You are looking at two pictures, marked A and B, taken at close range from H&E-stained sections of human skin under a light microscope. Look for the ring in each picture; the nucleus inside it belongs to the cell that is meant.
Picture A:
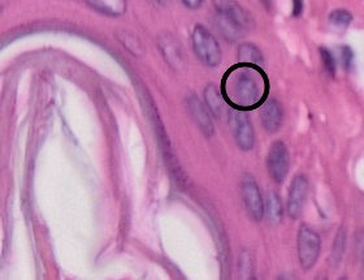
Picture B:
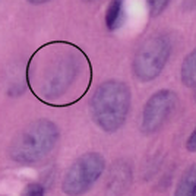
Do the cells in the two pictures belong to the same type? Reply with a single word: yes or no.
no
